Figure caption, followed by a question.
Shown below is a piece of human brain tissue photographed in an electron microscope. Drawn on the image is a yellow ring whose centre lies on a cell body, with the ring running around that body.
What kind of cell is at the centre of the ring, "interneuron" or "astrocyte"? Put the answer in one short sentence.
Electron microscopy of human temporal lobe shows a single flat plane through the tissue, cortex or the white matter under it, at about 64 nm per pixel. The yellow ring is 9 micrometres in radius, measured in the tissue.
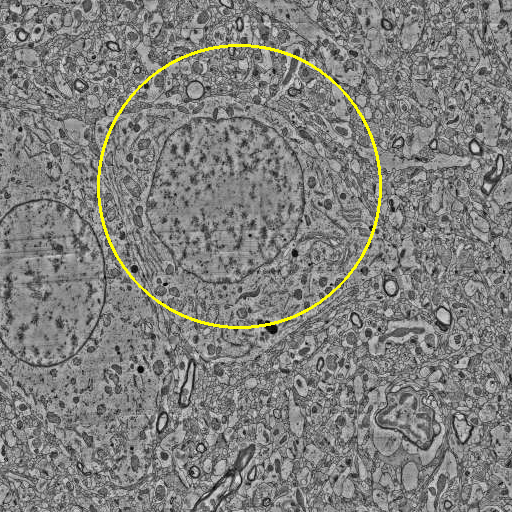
The ring marks the cell body of an interneuron.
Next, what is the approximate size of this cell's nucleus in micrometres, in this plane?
In this plane the nucleus measures roughly 10 micrometres across.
